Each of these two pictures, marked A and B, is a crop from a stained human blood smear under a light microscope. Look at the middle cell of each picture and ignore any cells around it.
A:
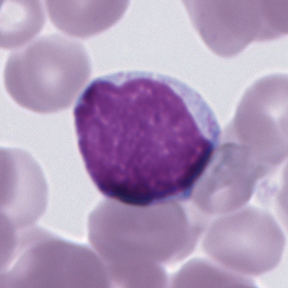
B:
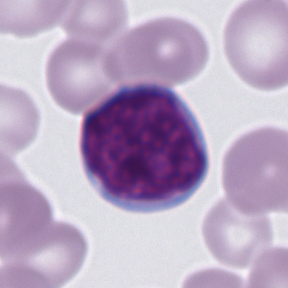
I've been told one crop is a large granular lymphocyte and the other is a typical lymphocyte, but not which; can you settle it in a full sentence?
Okay, so crop A is a large granular lymphocyte and crop B is a typical lymphocyte.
